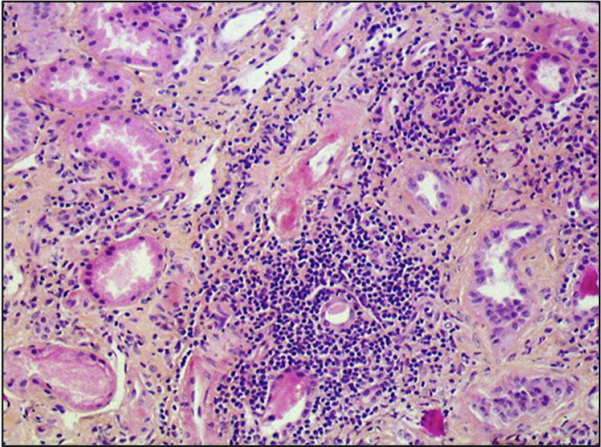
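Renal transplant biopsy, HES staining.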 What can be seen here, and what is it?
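This is kidney tissue in which a dense nodular collection of mononuclear cells sits among the tubules. The infiltrating cells are small, with round dark purple nodes of nuclei and very little cytoplasm, packed tightly in the centre and thinning out towards the edges. Around the nodule lie tubules lined by cuboidal epithelium, separated by pale pink fibrous interstitium, and some tubular lumens hold pink cast material.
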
